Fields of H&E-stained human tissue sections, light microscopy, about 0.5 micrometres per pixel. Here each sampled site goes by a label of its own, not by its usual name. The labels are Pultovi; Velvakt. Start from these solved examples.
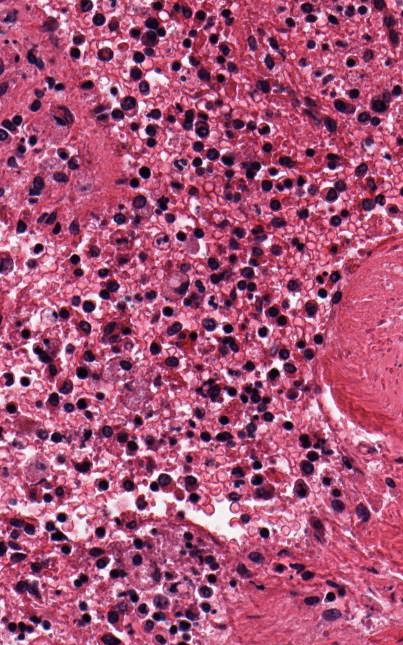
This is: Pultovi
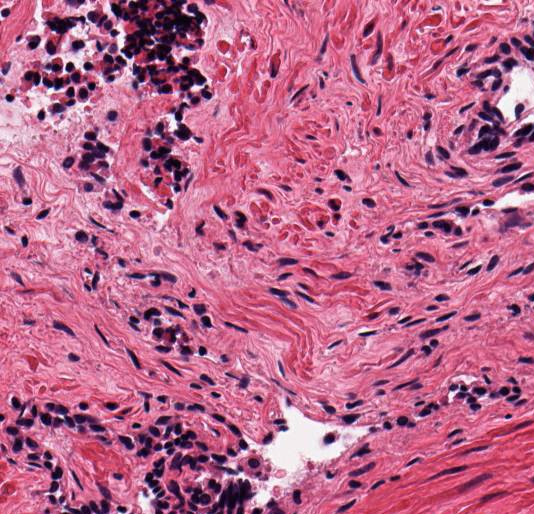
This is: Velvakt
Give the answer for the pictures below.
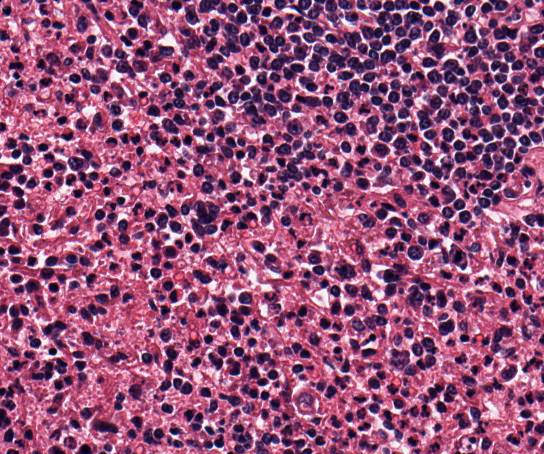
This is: Pultovi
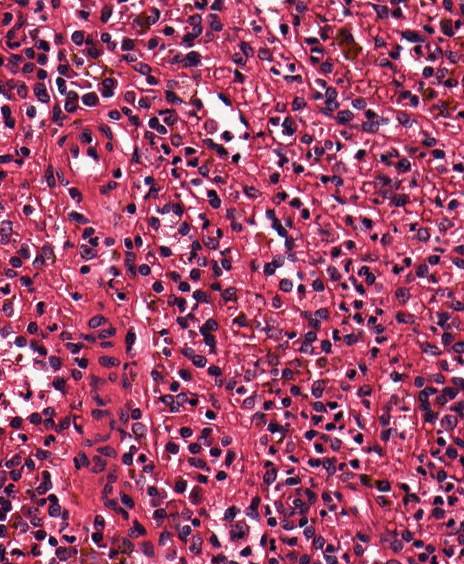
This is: Pultovi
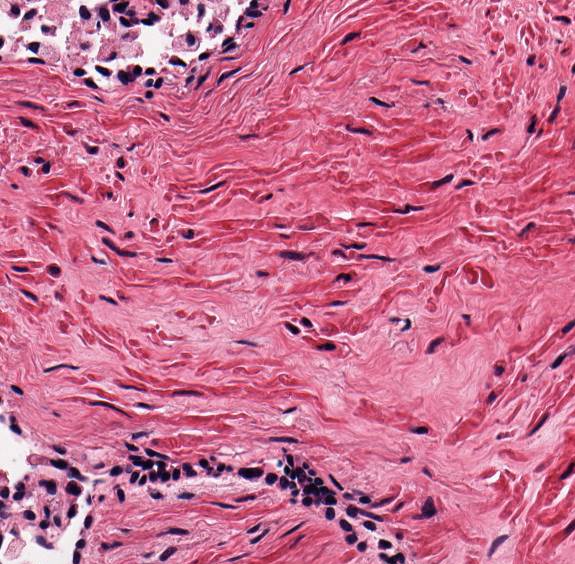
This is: Velvakt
